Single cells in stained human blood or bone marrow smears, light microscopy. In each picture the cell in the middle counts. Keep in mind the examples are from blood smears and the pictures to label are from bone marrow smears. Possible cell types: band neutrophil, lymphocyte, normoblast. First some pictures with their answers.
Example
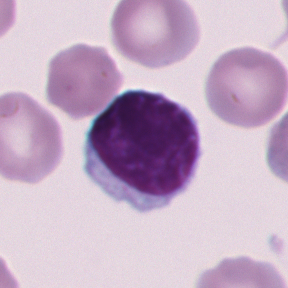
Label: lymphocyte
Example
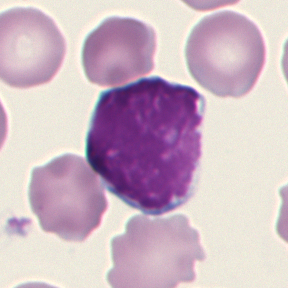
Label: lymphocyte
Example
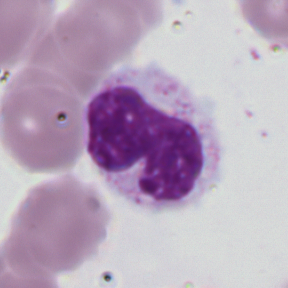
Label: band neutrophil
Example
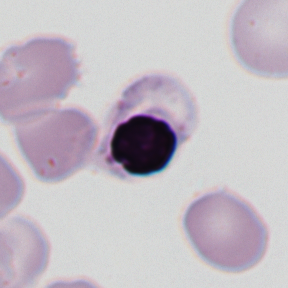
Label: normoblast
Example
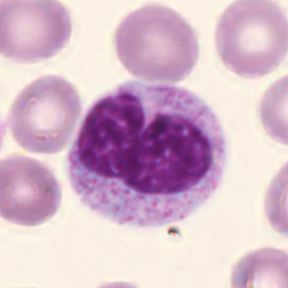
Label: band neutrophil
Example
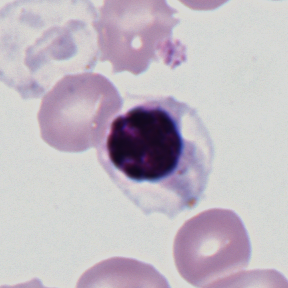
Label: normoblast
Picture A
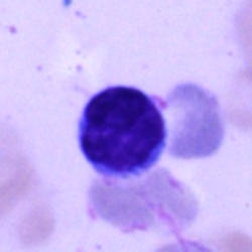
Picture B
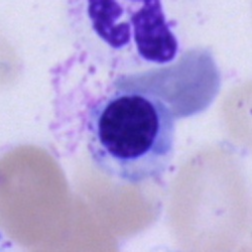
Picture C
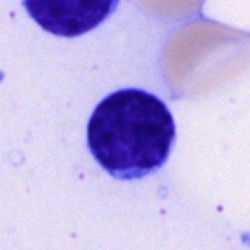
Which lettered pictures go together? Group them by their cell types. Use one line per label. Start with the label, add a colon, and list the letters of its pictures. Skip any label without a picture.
lymphocyte: A, C
normoblast: B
